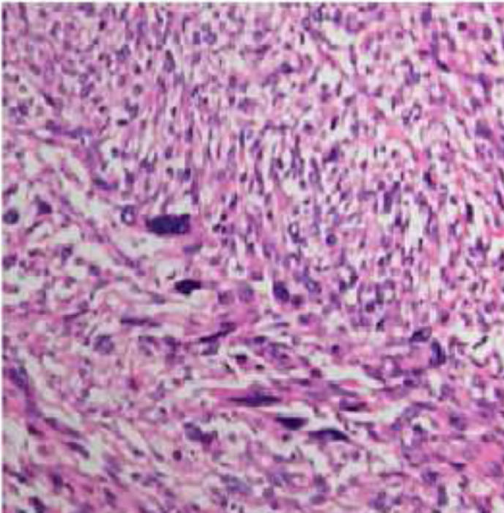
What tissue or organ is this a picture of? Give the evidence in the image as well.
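Densely packed spindle-shaped cells. Cells run in interlacing bundles. No glands or epithelial nests are present.
Mesenchimal neoplasic proliferation.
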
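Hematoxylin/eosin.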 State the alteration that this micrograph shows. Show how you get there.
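Nuclear atypia, pleomorphism. Nuclei vary widely in size and shape. Scattered very large, dark, irregular nuclei lie among smaller ones.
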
